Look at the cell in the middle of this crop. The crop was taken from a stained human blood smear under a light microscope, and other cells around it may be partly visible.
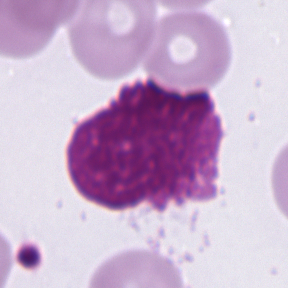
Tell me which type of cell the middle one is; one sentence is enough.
The cell the crop is centered on is a smudge cell.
